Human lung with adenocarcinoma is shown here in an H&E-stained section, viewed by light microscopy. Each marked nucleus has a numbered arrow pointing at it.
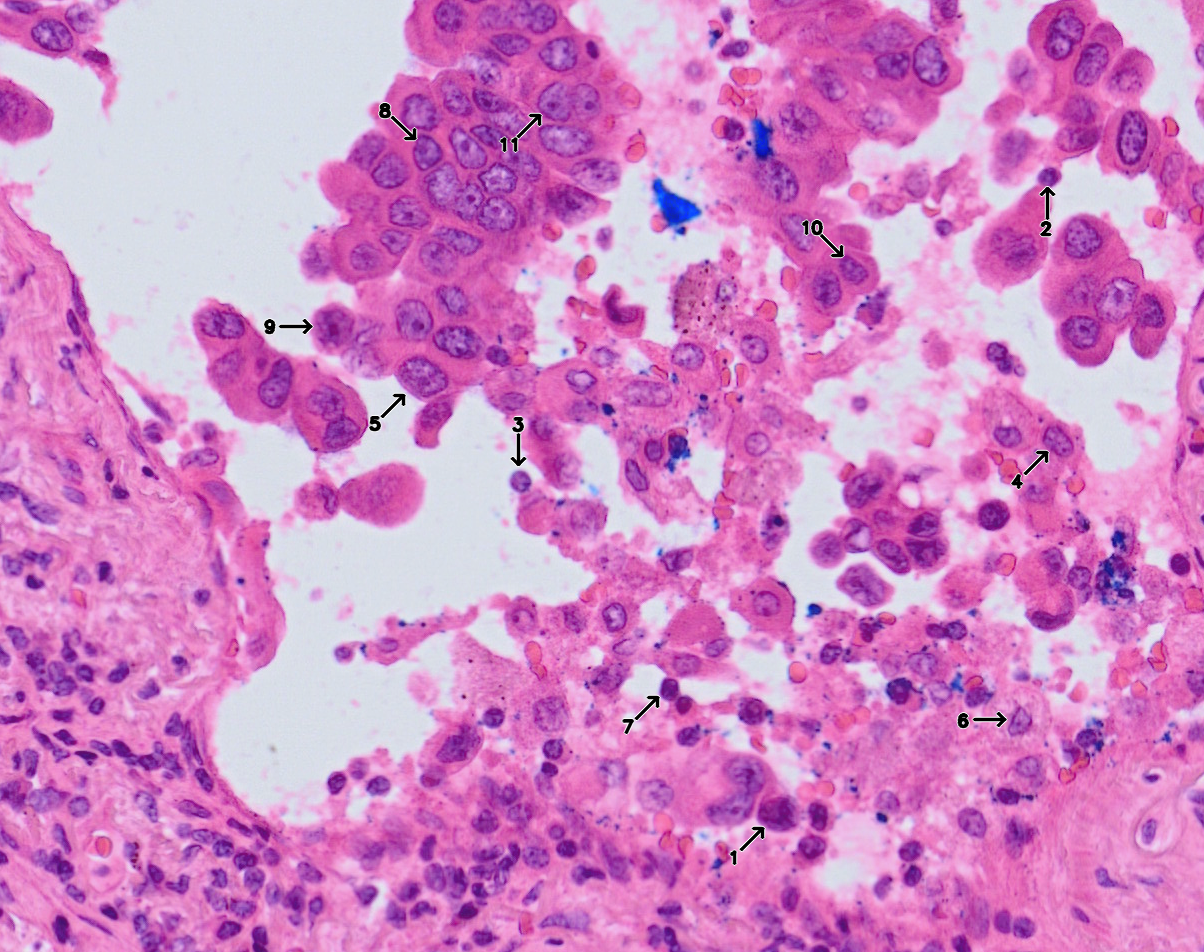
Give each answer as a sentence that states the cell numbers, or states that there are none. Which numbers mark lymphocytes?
The cells tagged with numbers 2, 3 and 7 are lymphocytes.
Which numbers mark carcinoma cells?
In this section, the cells numbered 1, 5, 8, 9, 10 and 11 are carcinoma cells.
